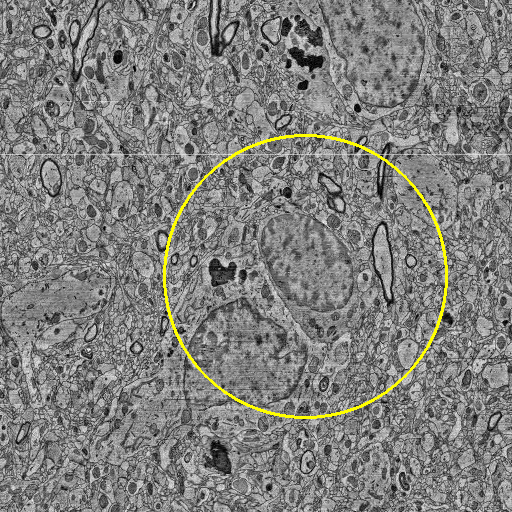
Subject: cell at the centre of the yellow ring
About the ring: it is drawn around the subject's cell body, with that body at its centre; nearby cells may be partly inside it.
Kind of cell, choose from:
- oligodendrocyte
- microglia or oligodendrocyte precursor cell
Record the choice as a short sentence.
The subject cell is an oligodendrocyte.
